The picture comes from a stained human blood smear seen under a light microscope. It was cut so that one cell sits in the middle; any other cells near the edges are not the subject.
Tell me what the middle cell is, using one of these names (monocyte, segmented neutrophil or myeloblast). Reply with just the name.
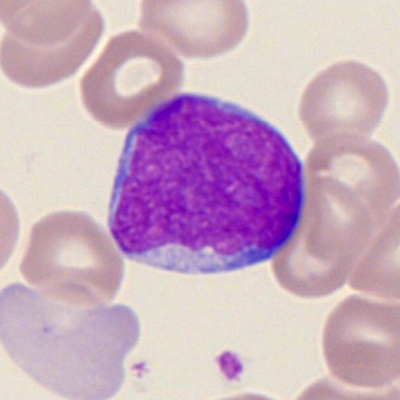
myeloblast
